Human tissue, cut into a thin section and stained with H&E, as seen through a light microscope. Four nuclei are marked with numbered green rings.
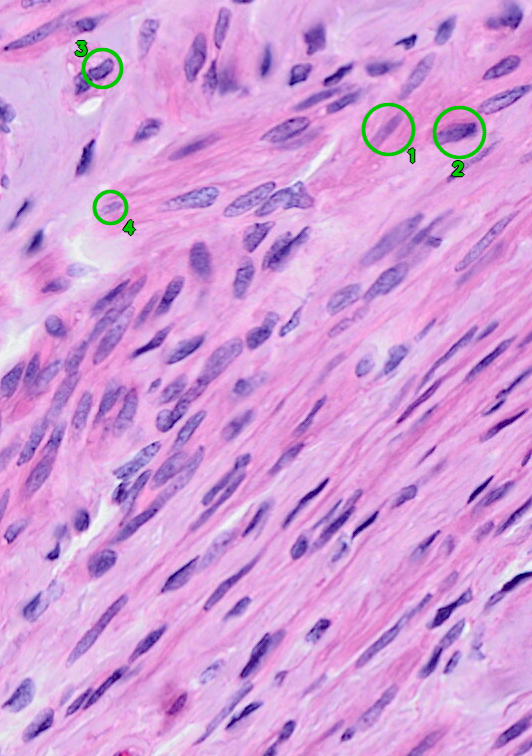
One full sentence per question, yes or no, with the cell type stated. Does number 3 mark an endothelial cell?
Yes, the cell given number 3 is an endothelial cell.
